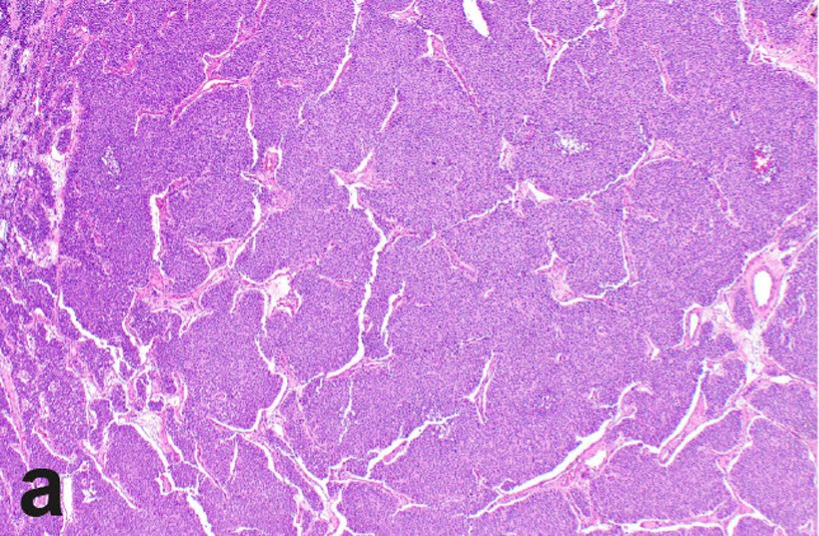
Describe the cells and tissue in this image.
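At low power the tissue is a dense purple cellular tumor divided into large rounded nests by thin pale pink fibrous septa and clefts, with a few small vessels in the stroma. No large pale or eosinophilic areas of necrosis are evident. This is a tumor with a nested growth pattern.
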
